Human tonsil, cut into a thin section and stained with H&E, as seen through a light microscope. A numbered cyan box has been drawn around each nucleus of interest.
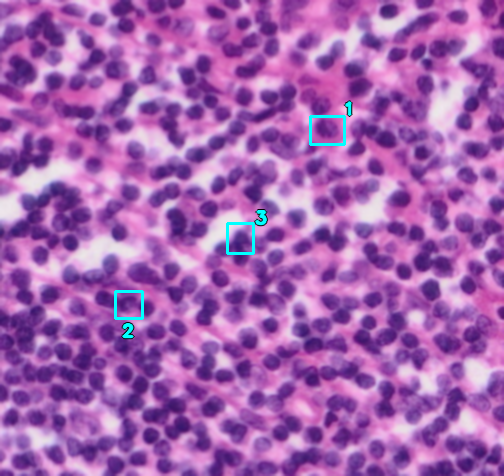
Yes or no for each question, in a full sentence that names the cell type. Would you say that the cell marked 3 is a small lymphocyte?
Yes, number 3 in this section denotes a small lymphocyte.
